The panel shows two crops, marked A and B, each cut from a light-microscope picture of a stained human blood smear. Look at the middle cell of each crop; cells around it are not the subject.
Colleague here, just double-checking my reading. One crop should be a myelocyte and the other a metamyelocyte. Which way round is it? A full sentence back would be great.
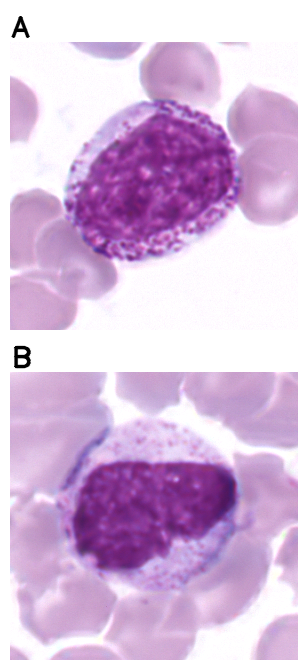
The cell of interest in crop A is a myelocyte, and in crop B it is a metamyelocyte.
